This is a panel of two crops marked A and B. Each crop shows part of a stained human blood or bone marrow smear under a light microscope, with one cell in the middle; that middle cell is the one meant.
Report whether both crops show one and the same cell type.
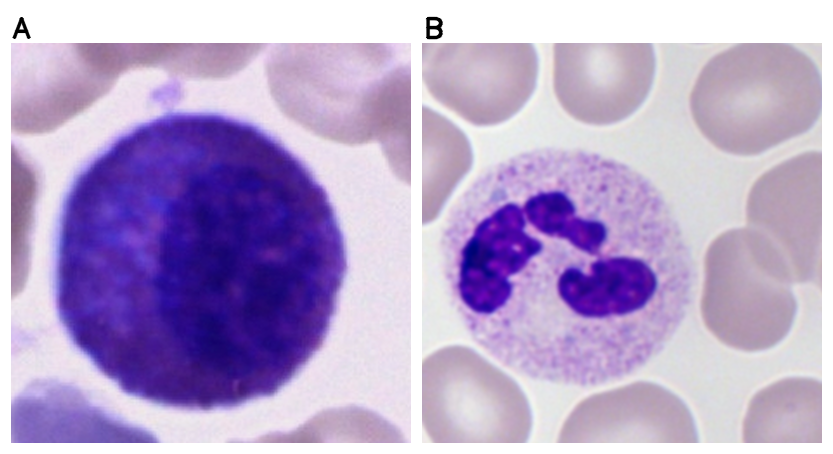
no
